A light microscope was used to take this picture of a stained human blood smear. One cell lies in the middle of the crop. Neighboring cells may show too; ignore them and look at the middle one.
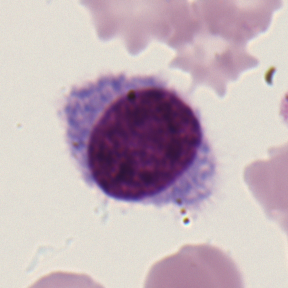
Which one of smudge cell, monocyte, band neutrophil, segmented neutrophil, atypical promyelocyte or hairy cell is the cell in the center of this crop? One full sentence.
Centrally within this crop lies a hairy cell.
